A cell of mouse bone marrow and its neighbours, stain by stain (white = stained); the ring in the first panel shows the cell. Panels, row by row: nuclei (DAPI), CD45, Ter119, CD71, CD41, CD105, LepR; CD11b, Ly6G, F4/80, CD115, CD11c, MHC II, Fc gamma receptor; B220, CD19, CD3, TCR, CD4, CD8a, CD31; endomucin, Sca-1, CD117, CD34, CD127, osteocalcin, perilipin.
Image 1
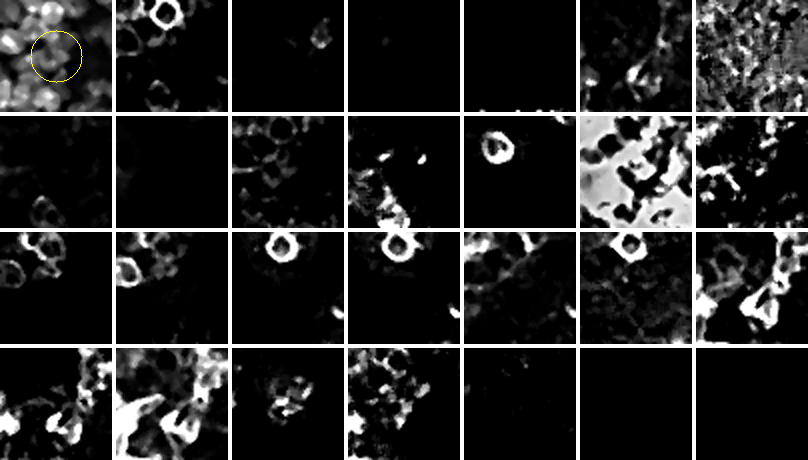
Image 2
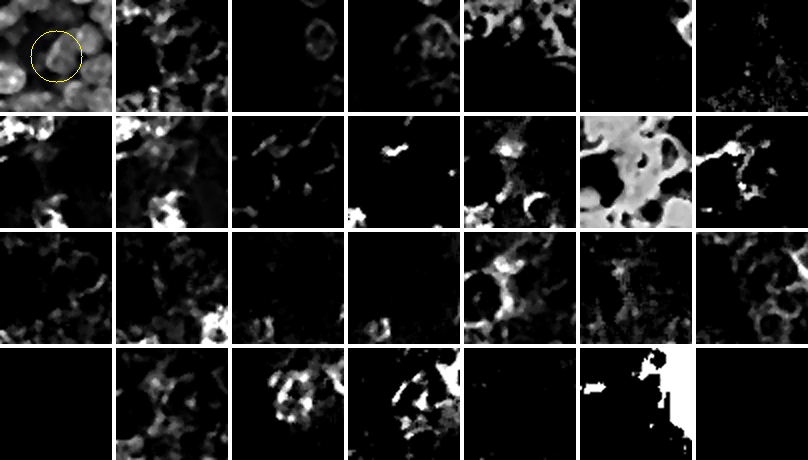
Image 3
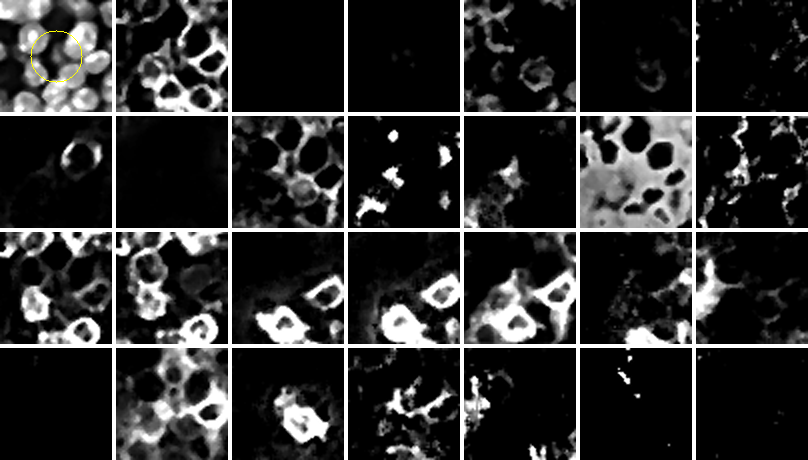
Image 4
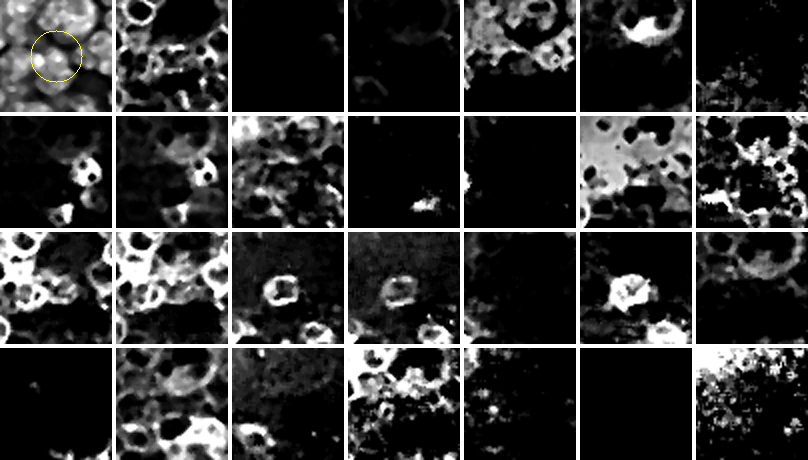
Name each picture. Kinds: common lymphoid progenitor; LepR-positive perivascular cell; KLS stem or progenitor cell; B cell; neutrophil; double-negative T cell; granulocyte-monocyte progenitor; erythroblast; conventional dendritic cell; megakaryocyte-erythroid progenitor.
Picture 1: KLS stem or progenitor cell
Picture 2: granulocyte-monocyte progenitor
Picture 3: KLS stem or progenitor cell
Picture 4: B cell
